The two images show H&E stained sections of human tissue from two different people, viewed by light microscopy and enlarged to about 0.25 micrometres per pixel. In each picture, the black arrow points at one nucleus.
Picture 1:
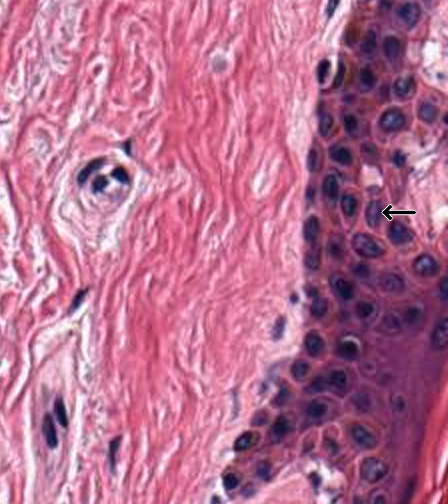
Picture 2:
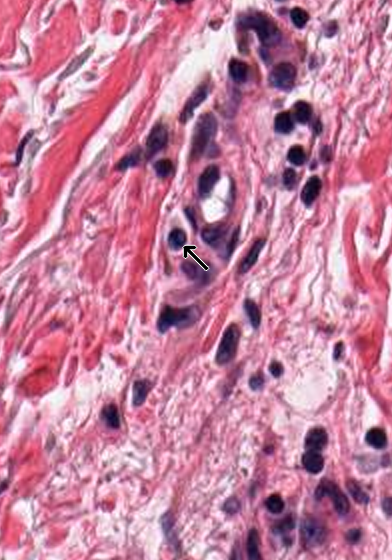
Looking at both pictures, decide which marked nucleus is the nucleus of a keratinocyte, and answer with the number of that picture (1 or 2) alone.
1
